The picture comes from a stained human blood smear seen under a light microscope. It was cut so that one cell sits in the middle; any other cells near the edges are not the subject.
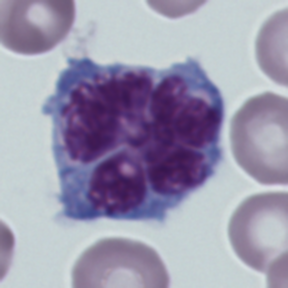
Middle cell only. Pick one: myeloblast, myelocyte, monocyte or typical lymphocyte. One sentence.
The cell found in the middle of this crop is a monocyte.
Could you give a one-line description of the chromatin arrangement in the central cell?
Its nuclear chromatin is gathered into coarse clumps.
